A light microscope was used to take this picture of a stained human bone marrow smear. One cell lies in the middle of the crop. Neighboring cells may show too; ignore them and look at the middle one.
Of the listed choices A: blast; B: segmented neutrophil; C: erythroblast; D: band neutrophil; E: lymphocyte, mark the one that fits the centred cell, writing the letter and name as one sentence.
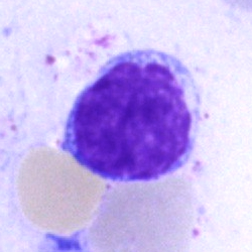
With the cell in the middle being a lymphocyte, option E is the correct choice.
